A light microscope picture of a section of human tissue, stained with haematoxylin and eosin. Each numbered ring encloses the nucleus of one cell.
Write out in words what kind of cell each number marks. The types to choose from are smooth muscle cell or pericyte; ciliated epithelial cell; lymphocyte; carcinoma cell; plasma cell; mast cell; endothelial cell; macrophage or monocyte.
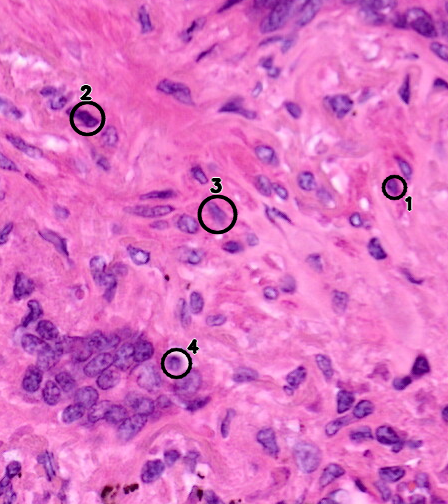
Cell 1 is a smooth muscle cell or pericyte, cell 2 is a plasma cell, cell 3 is a smooth muscle cell or pericyte and cell 4 is a lymphocyte.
